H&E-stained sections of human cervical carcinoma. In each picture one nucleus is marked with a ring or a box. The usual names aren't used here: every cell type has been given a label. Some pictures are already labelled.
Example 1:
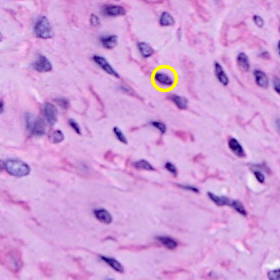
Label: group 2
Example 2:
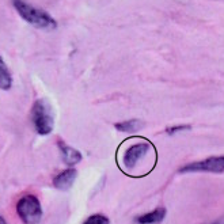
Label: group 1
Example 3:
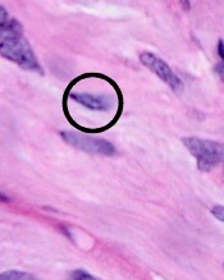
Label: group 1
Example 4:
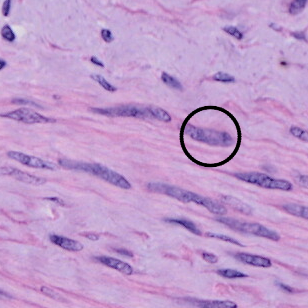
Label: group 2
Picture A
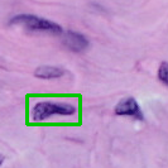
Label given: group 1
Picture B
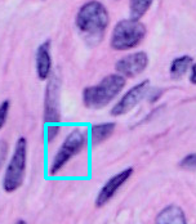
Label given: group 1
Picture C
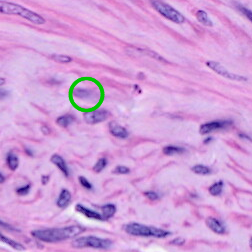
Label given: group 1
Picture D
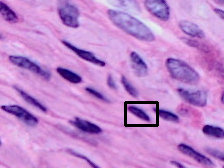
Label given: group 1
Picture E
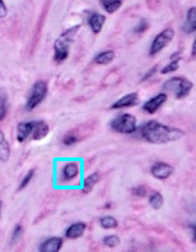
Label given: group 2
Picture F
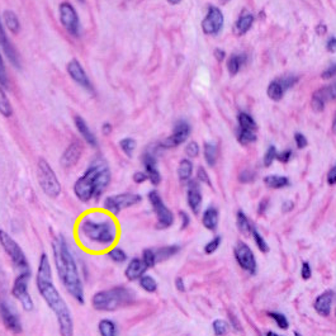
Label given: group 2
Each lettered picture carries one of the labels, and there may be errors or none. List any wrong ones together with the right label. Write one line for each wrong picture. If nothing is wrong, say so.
C: group 2, not group 1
